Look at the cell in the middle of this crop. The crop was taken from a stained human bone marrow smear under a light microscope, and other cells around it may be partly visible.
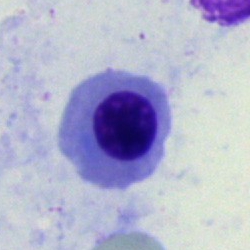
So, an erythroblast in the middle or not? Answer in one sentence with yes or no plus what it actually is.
Yes, the cell shown at the crop's centre is an erythroblast.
